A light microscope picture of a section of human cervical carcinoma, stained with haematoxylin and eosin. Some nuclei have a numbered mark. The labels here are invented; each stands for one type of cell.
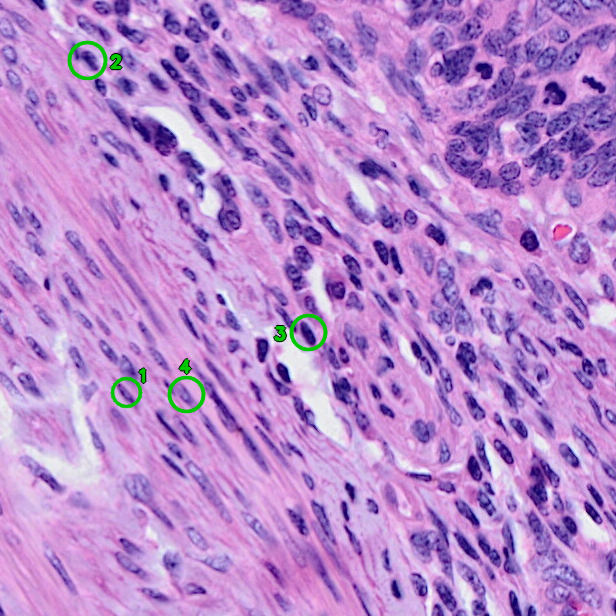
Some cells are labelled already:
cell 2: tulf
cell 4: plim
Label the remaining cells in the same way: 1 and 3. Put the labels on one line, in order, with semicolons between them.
plim; tulf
